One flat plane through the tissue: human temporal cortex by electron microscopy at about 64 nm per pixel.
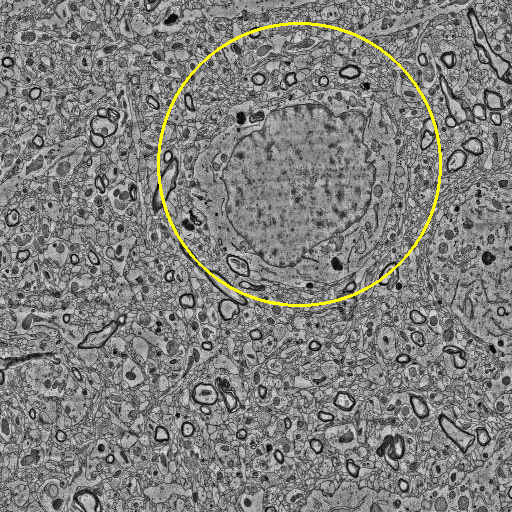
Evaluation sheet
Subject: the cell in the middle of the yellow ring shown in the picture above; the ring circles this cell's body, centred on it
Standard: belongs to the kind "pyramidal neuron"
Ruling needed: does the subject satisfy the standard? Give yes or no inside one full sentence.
No, the cell in the middle of the ring in the picture above belongs to some other kind.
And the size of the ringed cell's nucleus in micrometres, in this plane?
The nucleus comes to roughly 10 micrometres across in this plane.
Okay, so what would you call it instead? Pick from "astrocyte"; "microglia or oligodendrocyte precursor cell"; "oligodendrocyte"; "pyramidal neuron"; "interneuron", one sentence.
The ring holds an interneuron at its centre.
